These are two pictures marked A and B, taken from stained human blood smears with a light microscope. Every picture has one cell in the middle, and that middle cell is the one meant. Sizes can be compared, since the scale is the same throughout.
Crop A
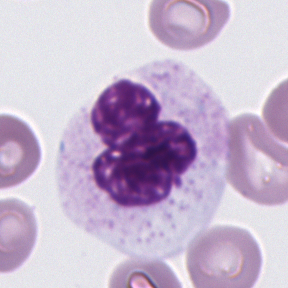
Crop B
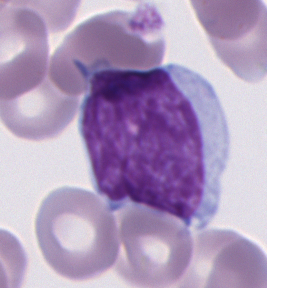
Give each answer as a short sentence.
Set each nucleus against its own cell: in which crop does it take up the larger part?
The nucleus fills more of the cell in crop B than in crop A.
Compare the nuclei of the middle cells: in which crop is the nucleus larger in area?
Crop B shows the larger nucleus; it covers about 1.5 times the area of the nucleus in crop A.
